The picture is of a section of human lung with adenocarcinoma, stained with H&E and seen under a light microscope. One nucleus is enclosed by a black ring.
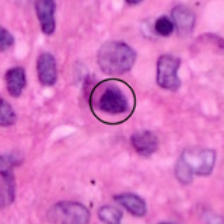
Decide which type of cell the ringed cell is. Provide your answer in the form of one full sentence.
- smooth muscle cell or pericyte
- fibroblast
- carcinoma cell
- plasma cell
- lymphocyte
Considered by cell type, the ringed cell is a plasma cell.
